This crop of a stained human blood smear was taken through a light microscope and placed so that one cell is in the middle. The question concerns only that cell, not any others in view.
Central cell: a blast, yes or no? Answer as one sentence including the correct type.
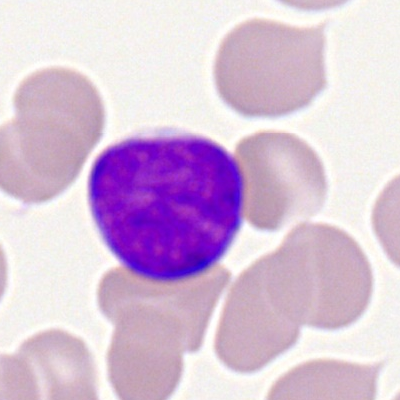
Yes, the cell centred in the field of view is a blast.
